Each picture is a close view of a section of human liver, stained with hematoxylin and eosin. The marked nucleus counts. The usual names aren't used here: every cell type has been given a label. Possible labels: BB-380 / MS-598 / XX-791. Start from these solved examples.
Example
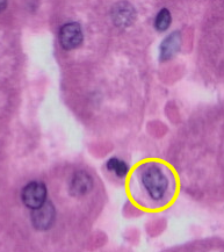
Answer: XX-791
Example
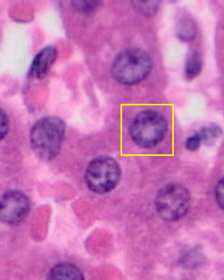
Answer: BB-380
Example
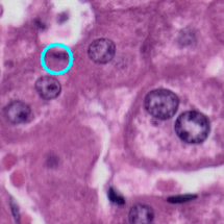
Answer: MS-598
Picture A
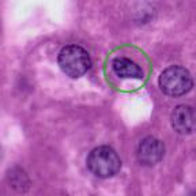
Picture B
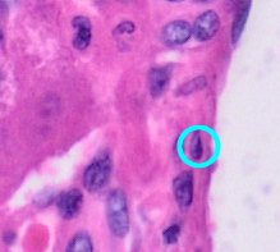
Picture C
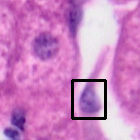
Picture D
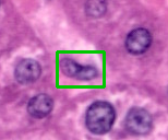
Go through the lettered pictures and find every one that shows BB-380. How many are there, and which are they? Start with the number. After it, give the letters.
0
